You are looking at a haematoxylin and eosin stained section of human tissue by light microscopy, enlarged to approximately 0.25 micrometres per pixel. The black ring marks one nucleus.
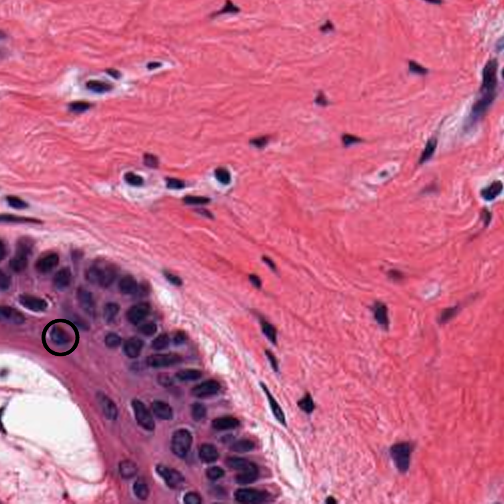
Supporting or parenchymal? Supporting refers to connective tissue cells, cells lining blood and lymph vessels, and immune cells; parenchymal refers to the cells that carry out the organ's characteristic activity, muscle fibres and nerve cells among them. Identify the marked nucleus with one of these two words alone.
parenchymal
